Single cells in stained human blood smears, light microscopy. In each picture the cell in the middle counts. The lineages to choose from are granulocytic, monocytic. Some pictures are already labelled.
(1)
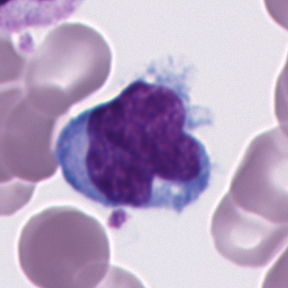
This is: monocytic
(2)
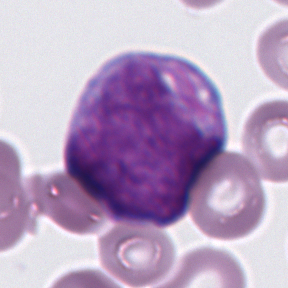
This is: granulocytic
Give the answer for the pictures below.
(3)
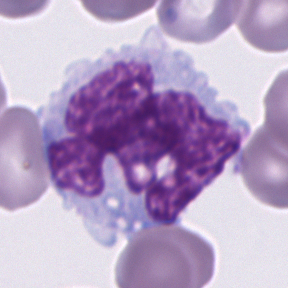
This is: monocytic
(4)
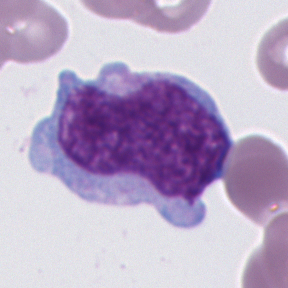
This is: granulocytic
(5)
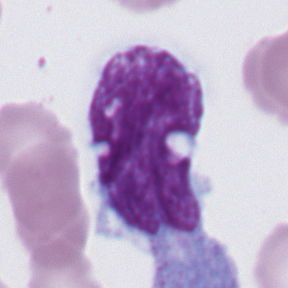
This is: monocytic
